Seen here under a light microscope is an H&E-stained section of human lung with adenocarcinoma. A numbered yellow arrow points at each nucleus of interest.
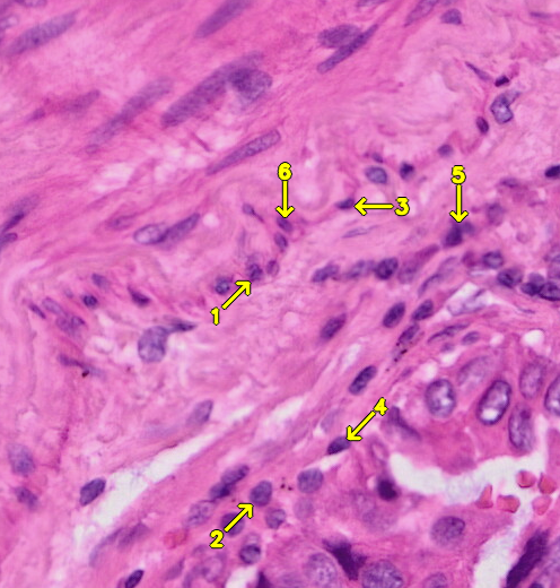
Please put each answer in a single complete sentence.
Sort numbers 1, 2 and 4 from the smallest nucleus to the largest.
From smallest to largest, the order is 1, 4, 2.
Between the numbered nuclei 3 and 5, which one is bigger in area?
At about 4 times the area of nucleus 3, nucleus 5 is the larger of the two.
